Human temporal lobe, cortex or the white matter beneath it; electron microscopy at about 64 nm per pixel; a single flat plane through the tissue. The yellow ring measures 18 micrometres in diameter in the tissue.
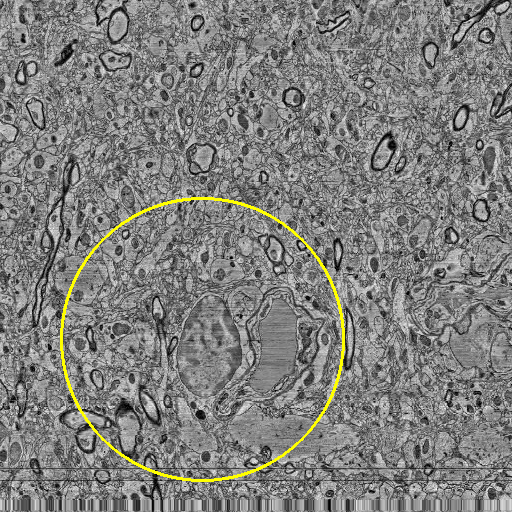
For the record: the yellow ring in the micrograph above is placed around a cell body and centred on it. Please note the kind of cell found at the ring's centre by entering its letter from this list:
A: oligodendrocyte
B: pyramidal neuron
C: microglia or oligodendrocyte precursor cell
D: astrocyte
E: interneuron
C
